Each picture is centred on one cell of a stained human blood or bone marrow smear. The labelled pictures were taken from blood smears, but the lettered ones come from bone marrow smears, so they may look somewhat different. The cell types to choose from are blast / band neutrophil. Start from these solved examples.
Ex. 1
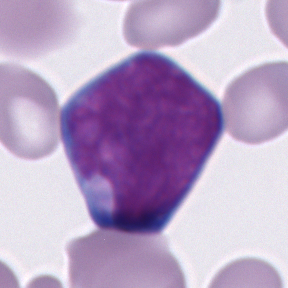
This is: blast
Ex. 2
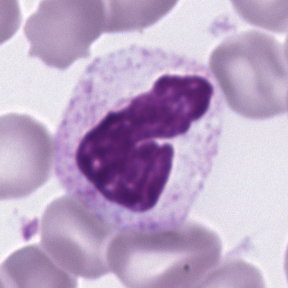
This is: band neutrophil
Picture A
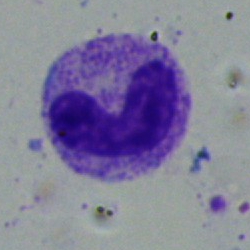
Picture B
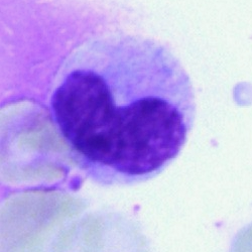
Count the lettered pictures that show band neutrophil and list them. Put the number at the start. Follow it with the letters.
2: A, B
